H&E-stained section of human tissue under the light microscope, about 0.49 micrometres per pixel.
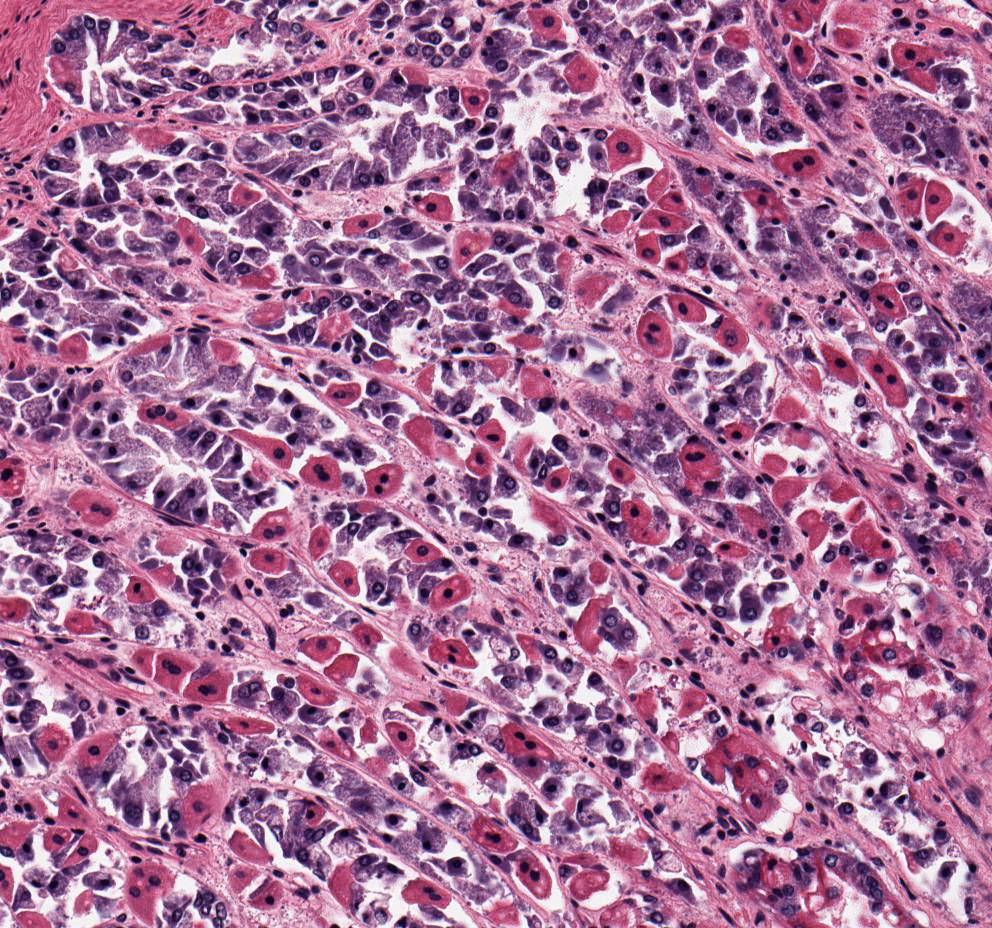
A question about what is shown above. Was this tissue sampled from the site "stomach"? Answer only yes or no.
yes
